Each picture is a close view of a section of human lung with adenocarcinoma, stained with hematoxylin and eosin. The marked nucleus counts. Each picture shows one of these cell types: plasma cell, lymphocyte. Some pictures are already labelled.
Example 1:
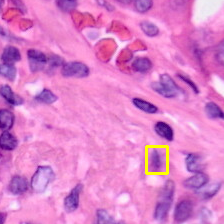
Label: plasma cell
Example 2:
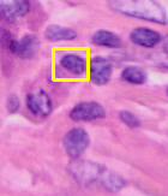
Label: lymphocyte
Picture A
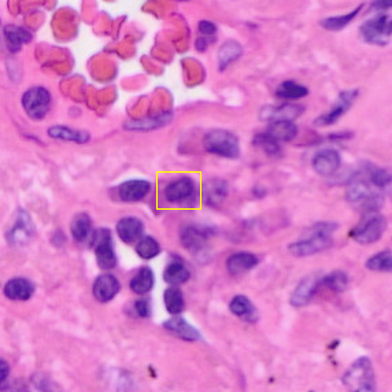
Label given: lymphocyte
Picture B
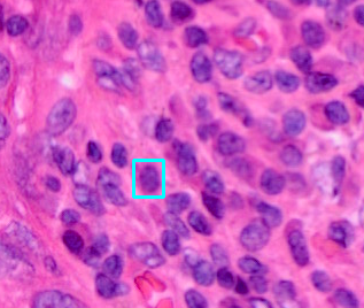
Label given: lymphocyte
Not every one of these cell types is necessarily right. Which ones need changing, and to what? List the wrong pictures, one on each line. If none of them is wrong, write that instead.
A: not lymphocyte but plasma cell
B: not lymphocyte but plasma cell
